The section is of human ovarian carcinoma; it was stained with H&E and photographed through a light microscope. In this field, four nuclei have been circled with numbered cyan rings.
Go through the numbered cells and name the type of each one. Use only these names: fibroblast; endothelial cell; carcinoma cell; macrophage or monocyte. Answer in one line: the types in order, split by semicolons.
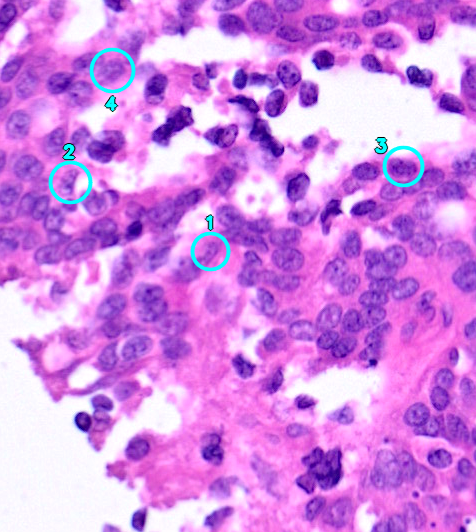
carcinoma cell; macrophage or monocyte; carcinoma cell; carcinoma cell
